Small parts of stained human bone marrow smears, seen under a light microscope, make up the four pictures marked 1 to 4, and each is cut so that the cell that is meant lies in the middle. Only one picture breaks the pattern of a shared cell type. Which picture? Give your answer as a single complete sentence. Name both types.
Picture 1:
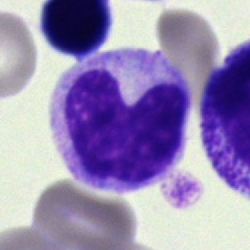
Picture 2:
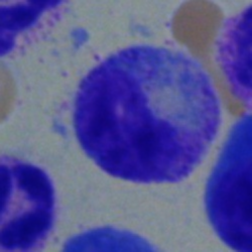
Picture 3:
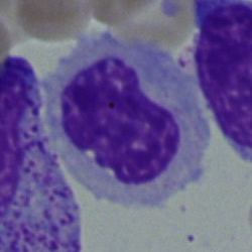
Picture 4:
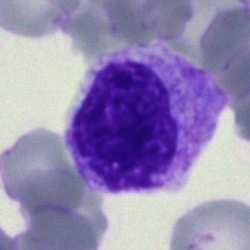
All pictures except 4 show metamyelocytes; picture 4 shows a myelocyte.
